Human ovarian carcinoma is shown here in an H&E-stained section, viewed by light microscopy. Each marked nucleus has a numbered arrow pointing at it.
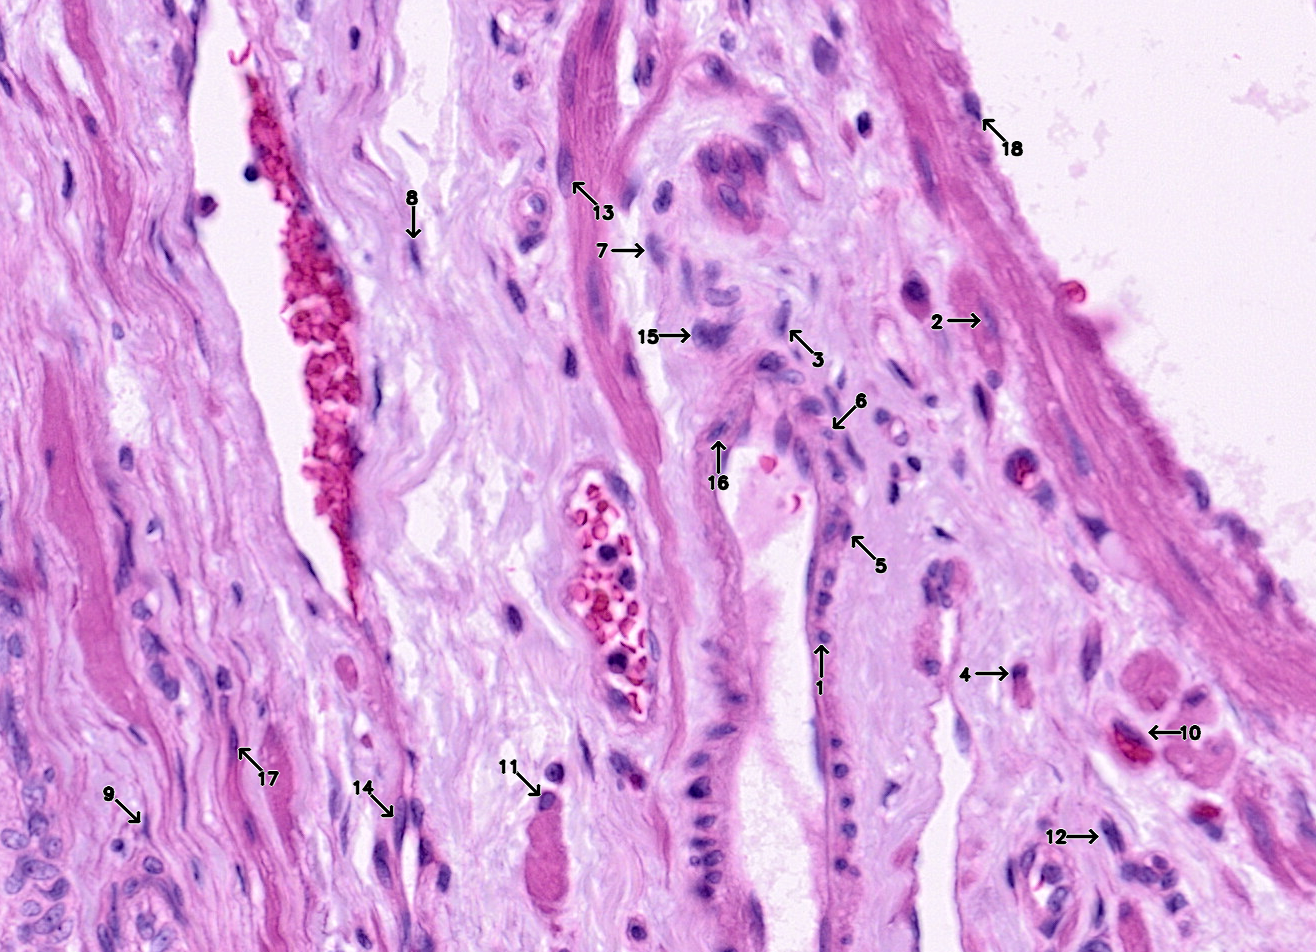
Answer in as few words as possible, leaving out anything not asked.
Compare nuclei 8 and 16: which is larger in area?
8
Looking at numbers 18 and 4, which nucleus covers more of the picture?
18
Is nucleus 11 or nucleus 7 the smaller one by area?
11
